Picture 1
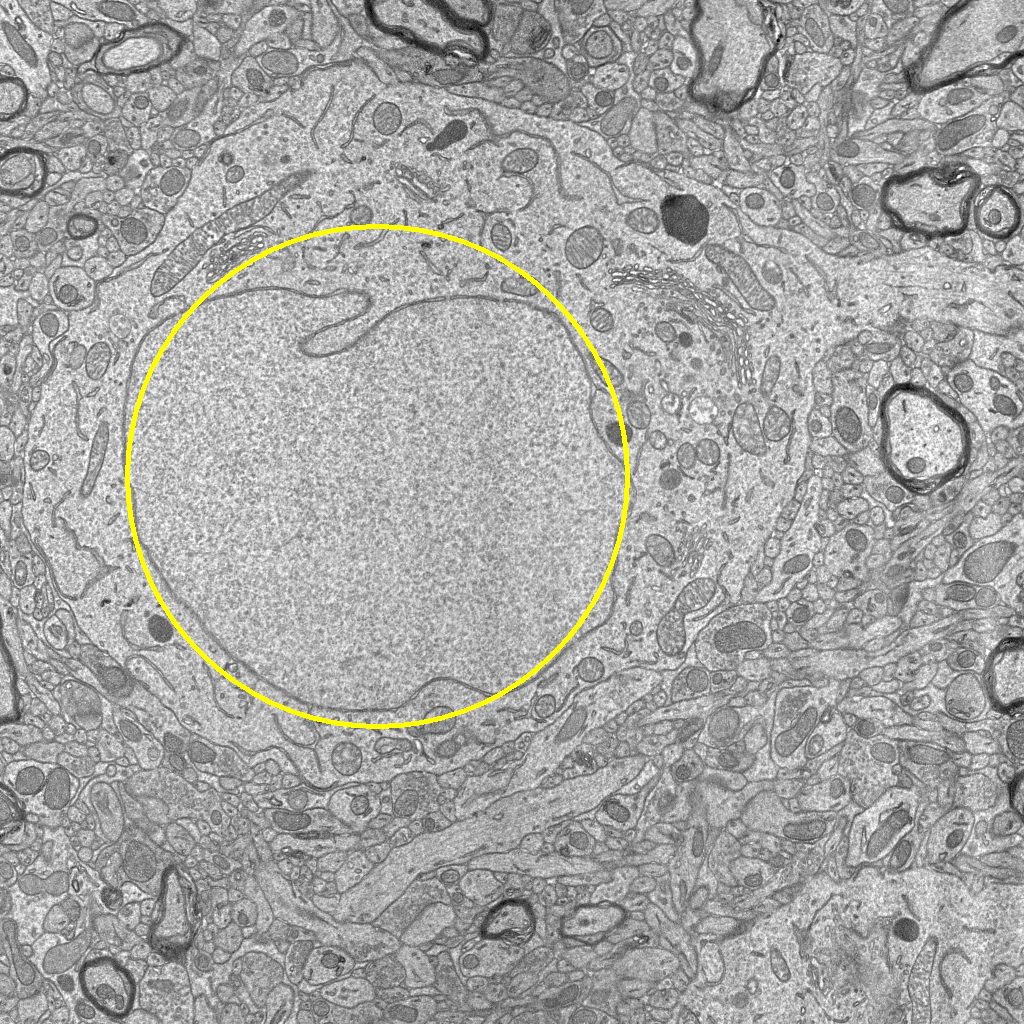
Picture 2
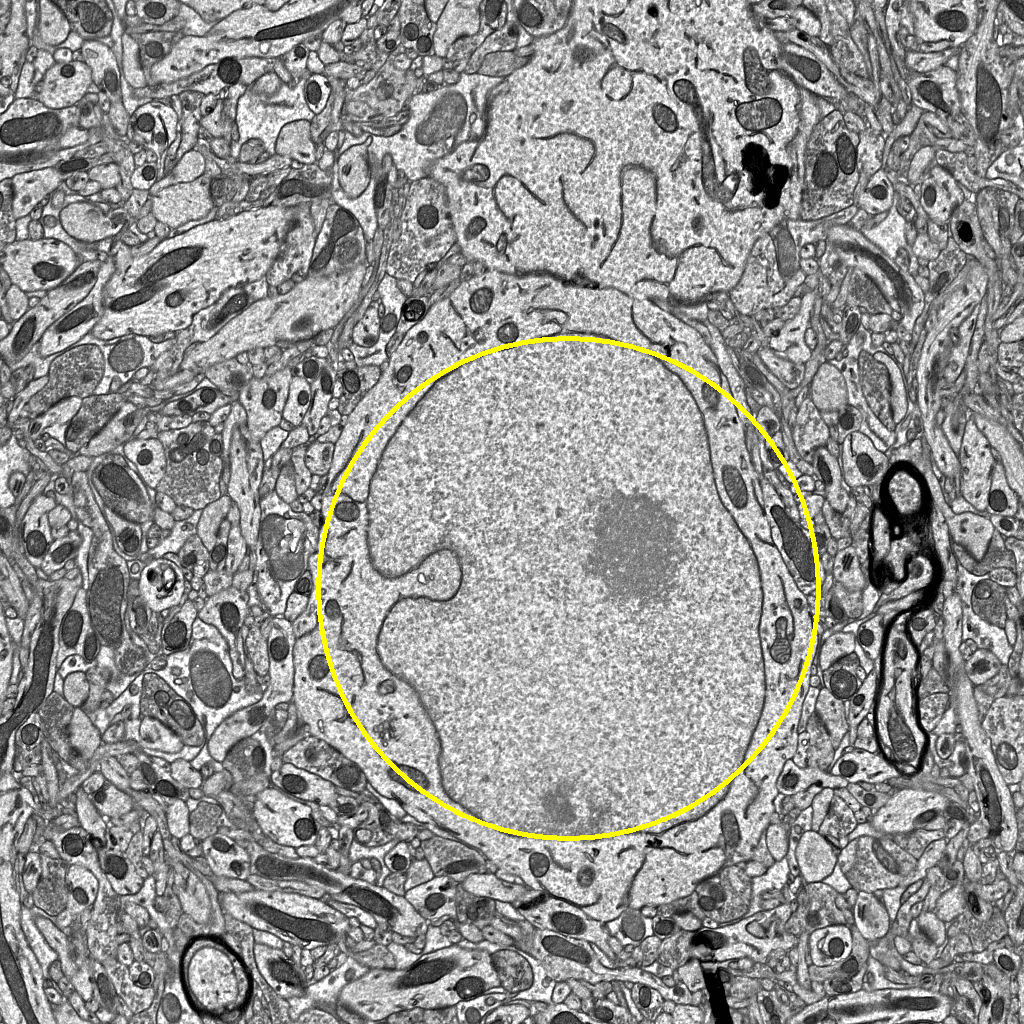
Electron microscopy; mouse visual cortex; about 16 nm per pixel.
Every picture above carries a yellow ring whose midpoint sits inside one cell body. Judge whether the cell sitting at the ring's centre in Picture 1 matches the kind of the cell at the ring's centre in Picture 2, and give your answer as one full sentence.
Yes, the cells at the centres of the rings in Pictures 1 and 2 belong to one kind.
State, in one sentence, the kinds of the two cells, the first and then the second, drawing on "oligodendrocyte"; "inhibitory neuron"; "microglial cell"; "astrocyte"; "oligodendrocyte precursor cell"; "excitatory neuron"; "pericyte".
The cell in the first picture is an excitatory neuron, and so is the one in the second.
